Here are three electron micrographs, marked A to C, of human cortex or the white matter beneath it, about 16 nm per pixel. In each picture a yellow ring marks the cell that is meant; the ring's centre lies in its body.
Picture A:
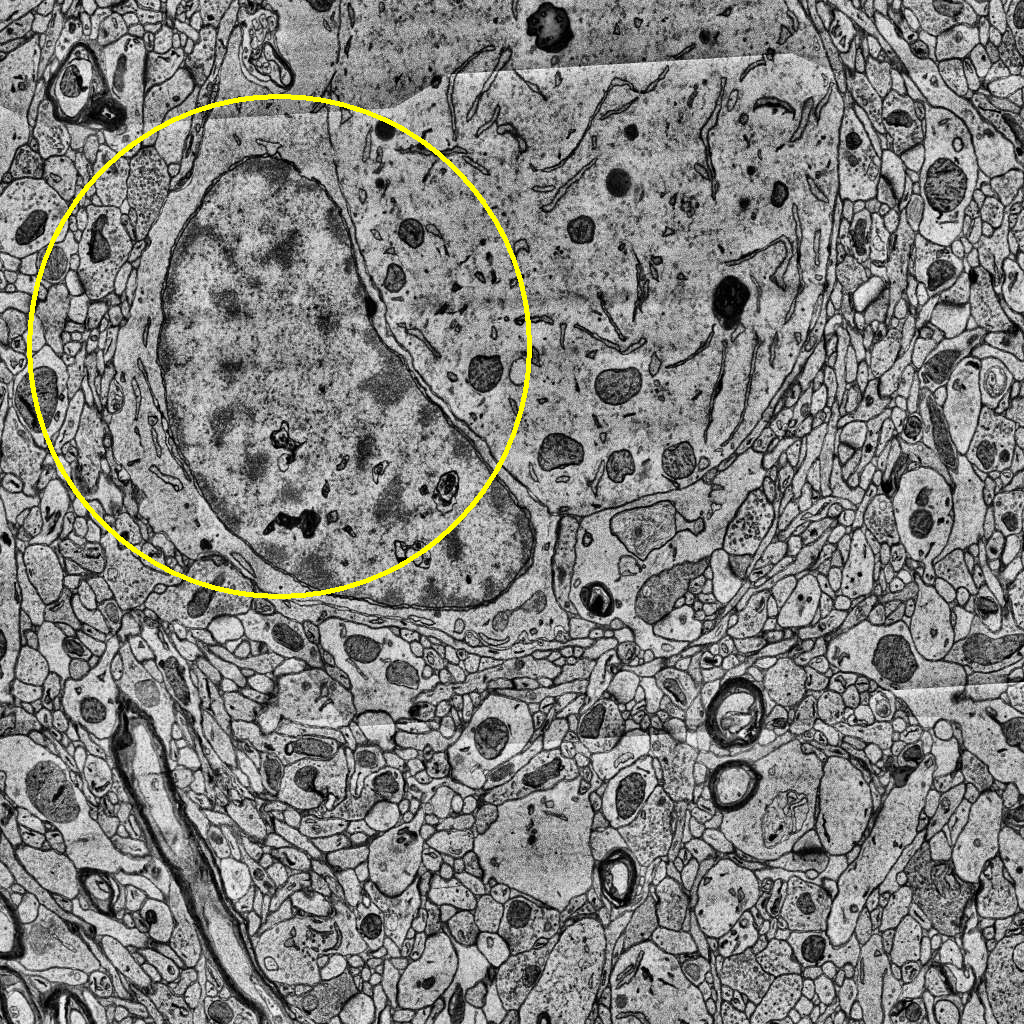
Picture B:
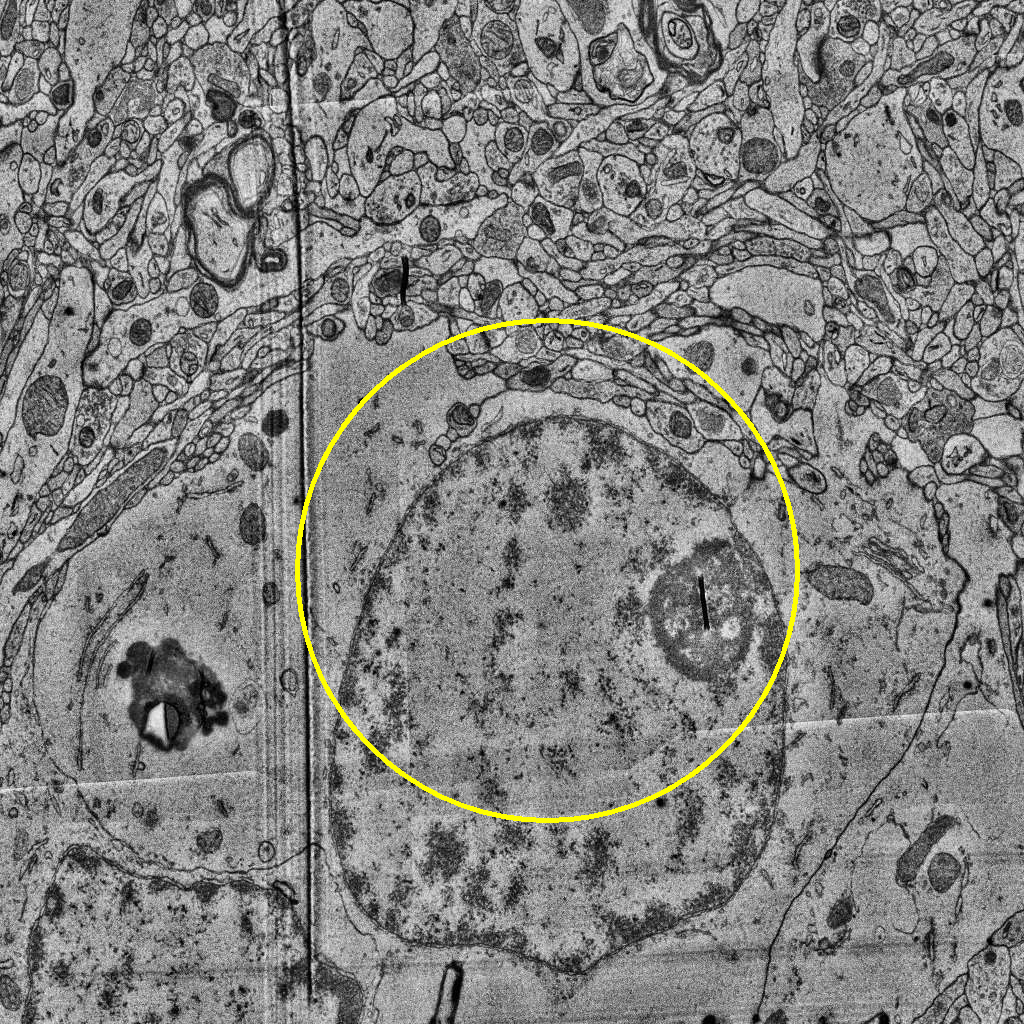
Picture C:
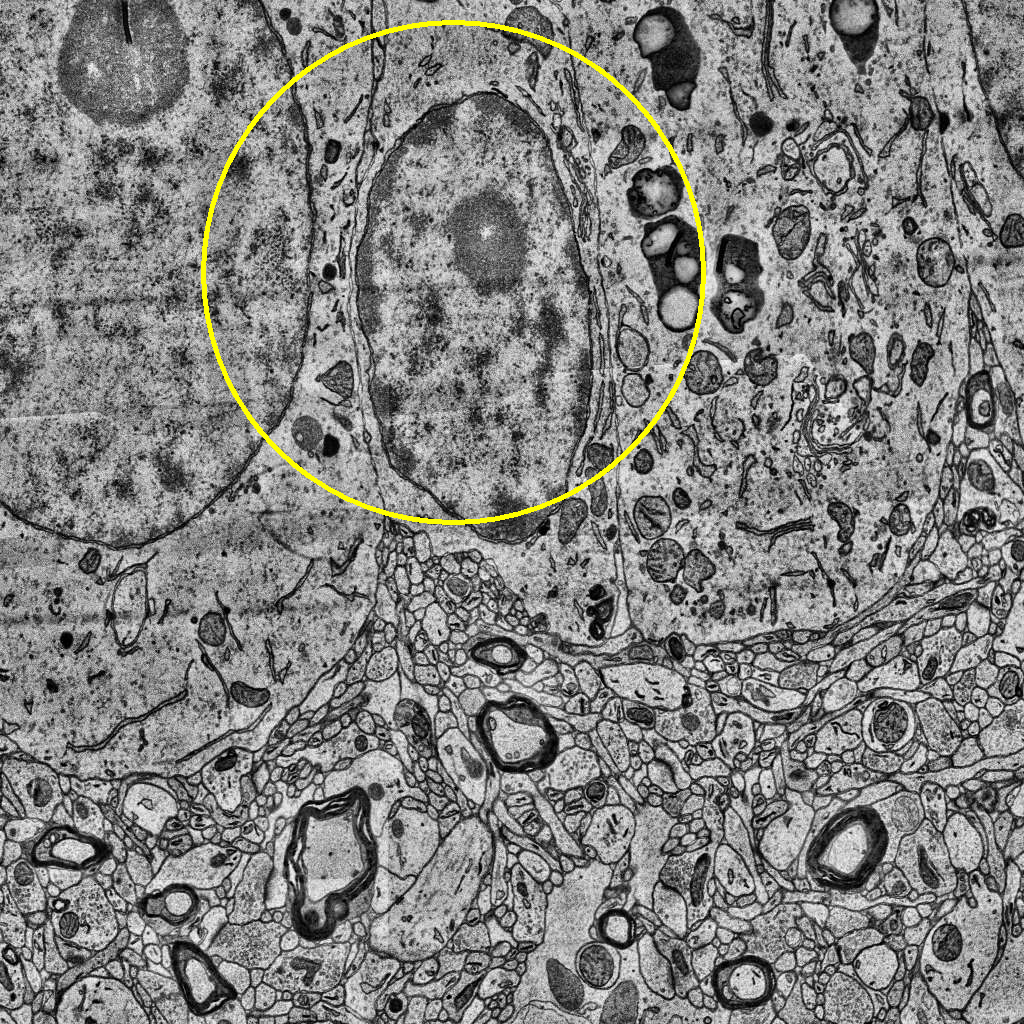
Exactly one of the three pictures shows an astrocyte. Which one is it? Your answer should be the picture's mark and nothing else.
B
